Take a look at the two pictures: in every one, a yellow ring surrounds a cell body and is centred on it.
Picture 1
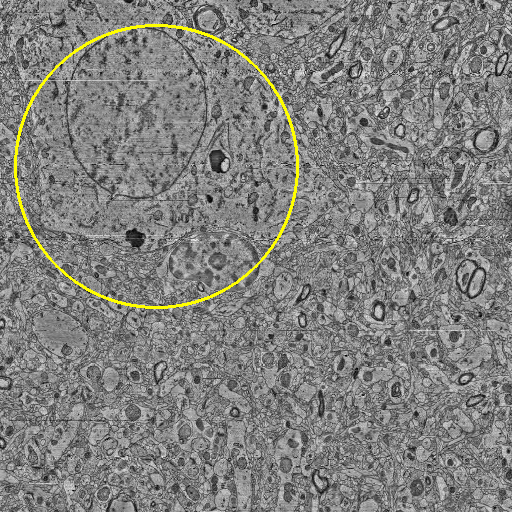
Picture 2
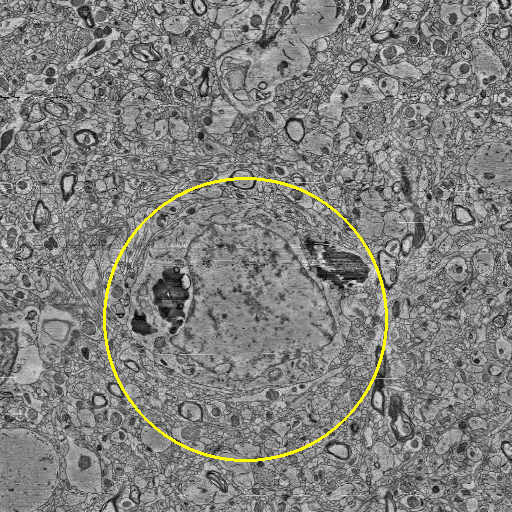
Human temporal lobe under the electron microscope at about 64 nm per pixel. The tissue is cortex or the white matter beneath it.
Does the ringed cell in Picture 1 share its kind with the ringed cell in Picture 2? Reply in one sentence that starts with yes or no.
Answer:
No, the two centred cells, one per picture, are of two kinds.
